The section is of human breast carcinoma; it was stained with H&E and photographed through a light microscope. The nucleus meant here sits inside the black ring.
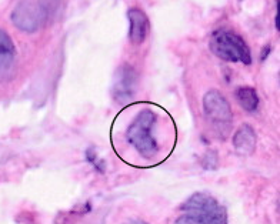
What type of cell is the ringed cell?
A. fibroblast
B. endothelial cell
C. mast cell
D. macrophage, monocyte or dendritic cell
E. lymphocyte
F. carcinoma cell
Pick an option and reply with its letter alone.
D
